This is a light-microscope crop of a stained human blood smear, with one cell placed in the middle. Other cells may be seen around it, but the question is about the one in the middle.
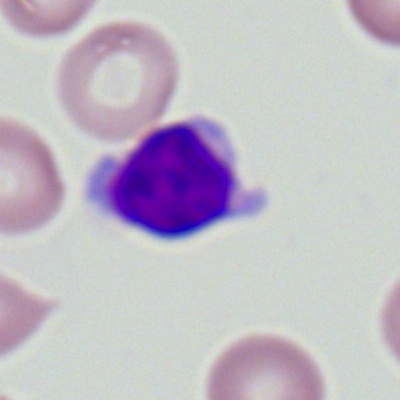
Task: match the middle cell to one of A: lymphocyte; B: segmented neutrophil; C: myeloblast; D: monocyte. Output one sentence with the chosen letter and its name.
The centrally positioned cell is a lymphocyte, consistent with option A, which is correct.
